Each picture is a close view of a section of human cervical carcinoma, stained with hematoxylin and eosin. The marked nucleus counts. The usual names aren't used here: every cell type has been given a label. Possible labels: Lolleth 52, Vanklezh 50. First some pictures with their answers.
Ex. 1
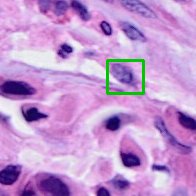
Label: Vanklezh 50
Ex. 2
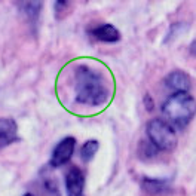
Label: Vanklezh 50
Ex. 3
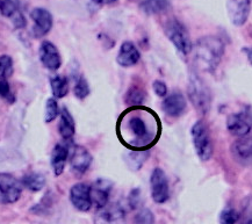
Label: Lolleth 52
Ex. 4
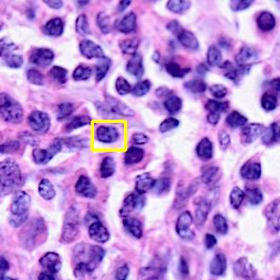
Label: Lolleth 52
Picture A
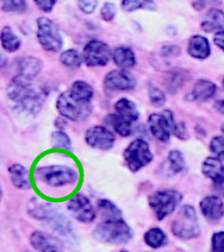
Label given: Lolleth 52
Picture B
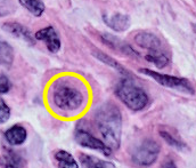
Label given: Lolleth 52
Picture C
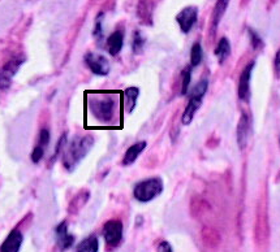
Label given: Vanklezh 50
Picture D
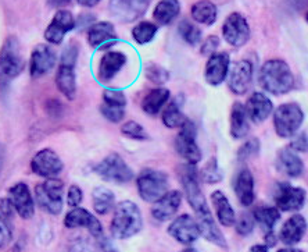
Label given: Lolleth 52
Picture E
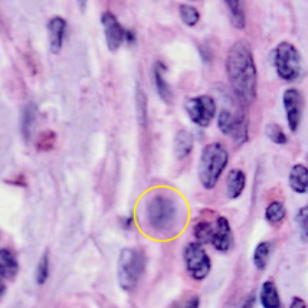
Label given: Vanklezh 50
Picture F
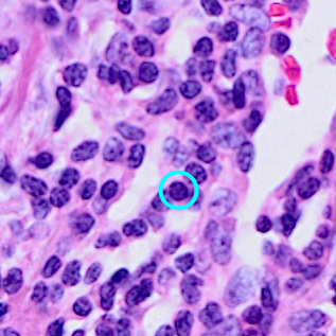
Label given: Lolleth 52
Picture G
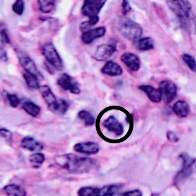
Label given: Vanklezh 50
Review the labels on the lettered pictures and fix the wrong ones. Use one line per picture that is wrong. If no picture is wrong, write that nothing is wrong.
B: Vanklezh 50, not Lolleth 52
G: Lolleth 52, not Vanklezh 50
